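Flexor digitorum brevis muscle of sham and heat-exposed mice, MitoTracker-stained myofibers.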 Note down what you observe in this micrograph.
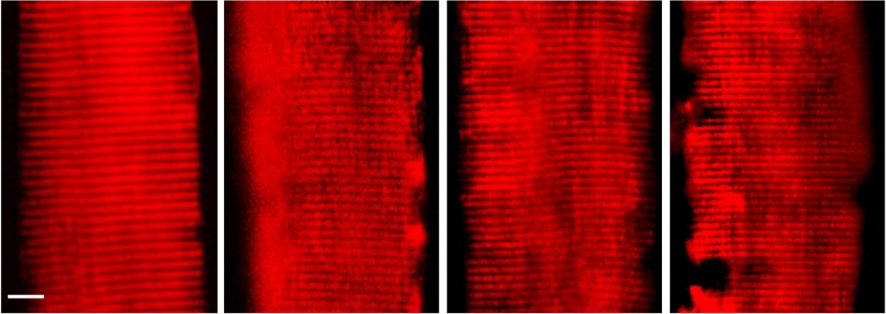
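In the leftmost fiber, the red signal is arranged in fine, evenly spaced transverse bands that cross the whole width of the fiber in a regular, ladder-like striated pattern. In the other three fibers the banding is still present but looks less regular and less sharp, with blurred, patchy zones where the bands are hard to follow. Brighter red clumps and uneven areas appear in these fibers, especially near their edges. In the rightmost fiber, dark gaps interrupt the stain along the left edge.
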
